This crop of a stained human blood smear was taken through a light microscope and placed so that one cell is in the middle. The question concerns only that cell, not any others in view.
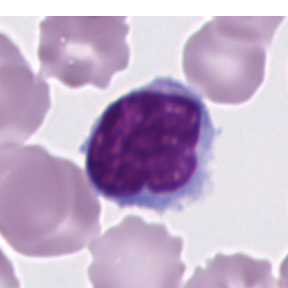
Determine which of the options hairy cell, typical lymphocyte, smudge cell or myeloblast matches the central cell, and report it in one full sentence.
The cell sitting right in the middle is a hairy cell.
